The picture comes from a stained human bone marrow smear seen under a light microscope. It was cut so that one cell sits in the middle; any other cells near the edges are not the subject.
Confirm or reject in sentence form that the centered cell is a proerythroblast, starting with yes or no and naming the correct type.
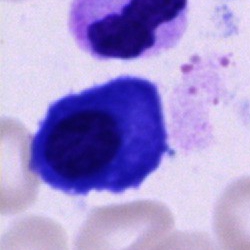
No, the cell in the middle of the field is a plasma cell, not a proerythroblast as suggested.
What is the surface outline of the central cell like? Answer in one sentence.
The edge is uneven, and this unevenness takes the form of ragged stretches or projections.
